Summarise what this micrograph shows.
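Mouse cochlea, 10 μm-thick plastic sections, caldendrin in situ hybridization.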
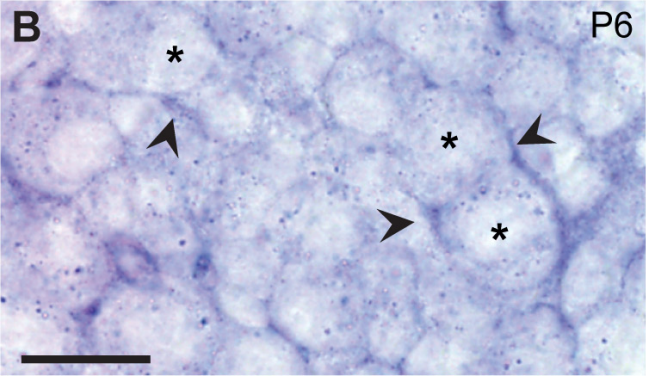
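This section through the spiral ganglion shows closely packed, large, round neuron cell bodies. The cell bodies appear pale, with light granular cytoplasm, and several show a rounded paler central region. Between and around the cell bodies runs a thin, darker purple rim of stain that outlines individual profiles. Small dark granules are scattered over the field.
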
